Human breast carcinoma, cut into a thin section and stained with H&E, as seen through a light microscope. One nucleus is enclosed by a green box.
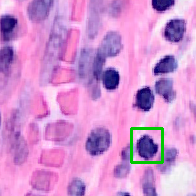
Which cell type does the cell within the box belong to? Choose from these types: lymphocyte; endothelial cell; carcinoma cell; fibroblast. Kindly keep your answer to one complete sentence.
It is as a lymphocyte that the cell within the box is recorded.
